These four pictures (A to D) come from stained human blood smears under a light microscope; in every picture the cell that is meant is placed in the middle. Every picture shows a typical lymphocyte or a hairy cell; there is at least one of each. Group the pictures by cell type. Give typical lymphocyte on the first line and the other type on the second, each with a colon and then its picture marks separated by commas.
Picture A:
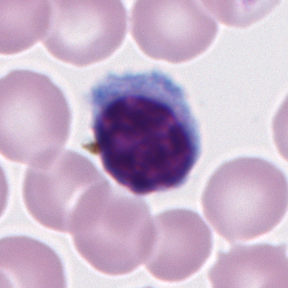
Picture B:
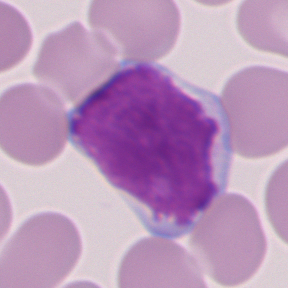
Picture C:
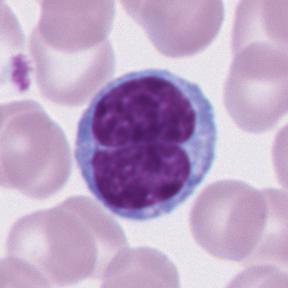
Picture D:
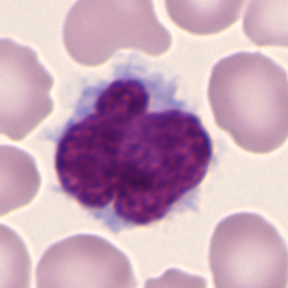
typical lymphocyte: A, B, C
hairy cell: D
